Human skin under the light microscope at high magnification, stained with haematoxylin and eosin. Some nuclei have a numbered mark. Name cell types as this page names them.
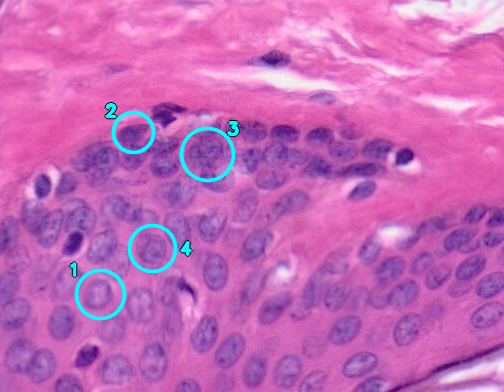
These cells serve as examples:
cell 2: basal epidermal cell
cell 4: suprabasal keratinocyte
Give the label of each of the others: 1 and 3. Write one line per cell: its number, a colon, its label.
1: suprabasal keratinocyte
3: basal epidermal cell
